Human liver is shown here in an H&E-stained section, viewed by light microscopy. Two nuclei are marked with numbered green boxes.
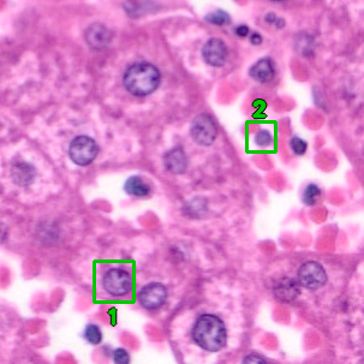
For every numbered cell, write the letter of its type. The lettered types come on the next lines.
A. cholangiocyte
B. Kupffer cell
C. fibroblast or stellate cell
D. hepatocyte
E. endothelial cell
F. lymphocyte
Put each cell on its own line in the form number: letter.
1: D
2: F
